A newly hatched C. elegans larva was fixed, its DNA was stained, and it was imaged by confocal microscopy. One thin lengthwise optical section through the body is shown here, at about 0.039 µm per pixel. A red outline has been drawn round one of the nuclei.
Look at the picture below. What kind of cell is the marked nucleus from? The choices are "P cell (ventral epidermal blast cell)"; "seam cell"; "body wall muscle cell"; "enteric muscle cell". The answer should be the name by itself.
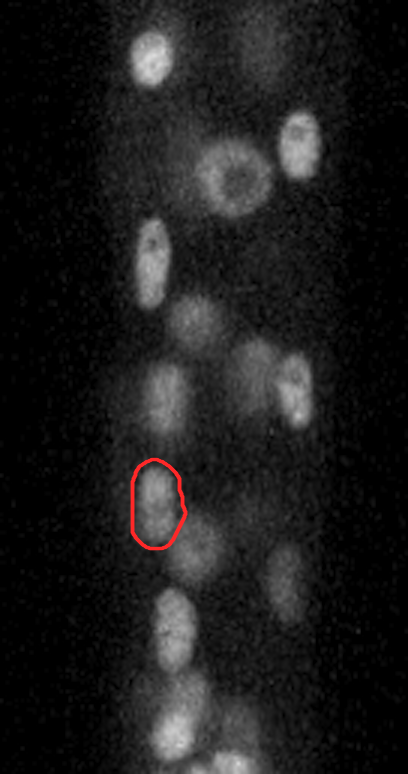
body wall muscle cell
